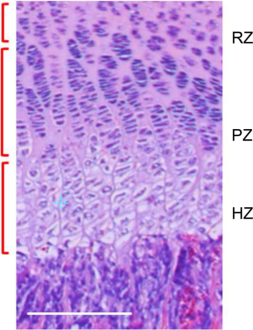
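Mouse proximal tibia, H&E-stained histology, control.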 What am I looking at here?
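This is growth-plate cartilage with chondrocytes arranged in successive zones from top to bottom. At the top, small rounded chondrocytes with dark purple nuclei lie scattered singly or in pairs in a pale pinkish matrix. Below them, flattened chondrocytes are stacked into long, orderly, parallel columns, with narrow strips of matrix between the columns. Further down, the cells enlarge greatly, becoming swollen with pale, clear cytoplasm and lying in large lacunae that are still aligned in columns. At the bottom edge, the cartilage gives way to densely cellular, darker purple and red tissue.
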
